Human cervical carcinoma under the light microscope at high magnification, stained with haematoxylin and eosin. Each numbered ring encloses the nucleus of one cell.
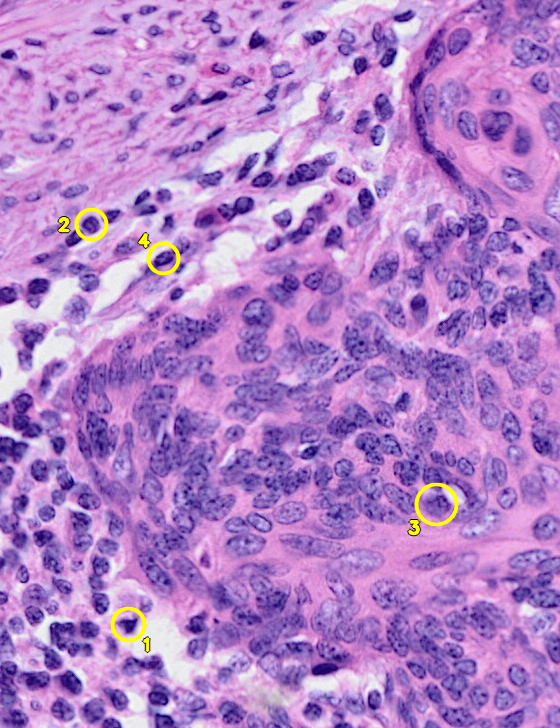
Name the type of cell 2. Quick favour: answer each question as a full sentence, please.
The cell indicated by marker 2 is a lymphocyte in this section.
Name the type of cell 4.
The nucleus labeled 4 belongs to a lymphocyte.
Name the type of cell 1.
The cell numbered 1 represents a lymphocyte.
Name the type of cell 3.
The cell assigned the number 3 is a squamous carcinoma cell.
